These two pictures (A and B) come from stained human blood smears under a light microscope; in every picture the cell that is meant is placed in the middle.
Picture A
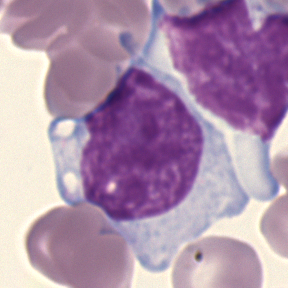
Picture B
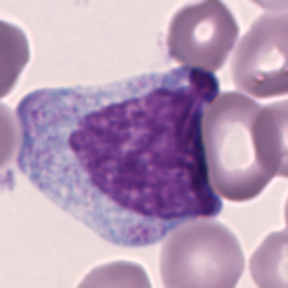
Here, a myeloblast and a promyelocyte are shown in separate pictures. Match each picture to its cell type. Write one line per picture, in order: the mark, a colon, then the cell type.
A: myeloblast
B: promyelocyte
